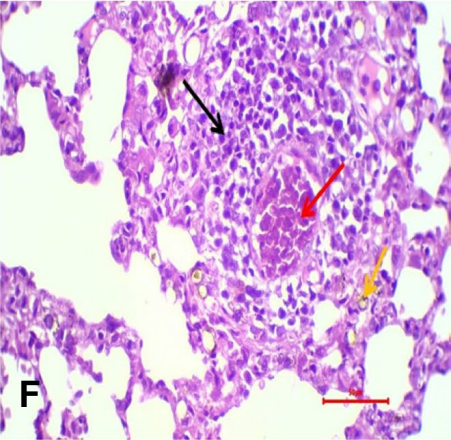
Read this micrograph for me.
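Lung tissue with open alveoli at the periphery and a central focus of inflammation where many small cells with dark nuclei crowd the thickened alveolar walls. Within this focus lies a congested vessel packed with pink-red red blood cells, and small yellowish-brown granules are scattered nearby.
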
